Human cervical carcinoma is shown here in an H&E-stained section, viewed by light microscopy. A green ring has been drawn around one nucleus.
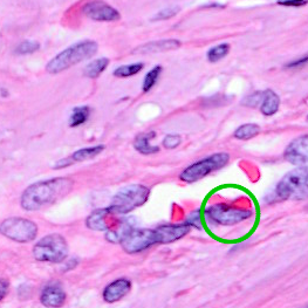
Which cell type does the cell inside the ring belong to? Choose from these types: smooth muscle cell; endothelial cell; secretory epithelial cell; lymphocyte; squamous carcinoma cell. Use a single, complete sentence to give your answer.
The expected answer is simply that the cell inside the ring is an endothelial cell.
